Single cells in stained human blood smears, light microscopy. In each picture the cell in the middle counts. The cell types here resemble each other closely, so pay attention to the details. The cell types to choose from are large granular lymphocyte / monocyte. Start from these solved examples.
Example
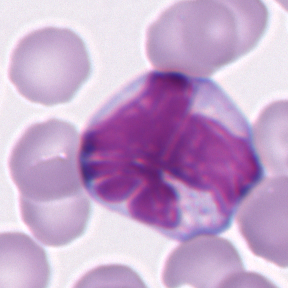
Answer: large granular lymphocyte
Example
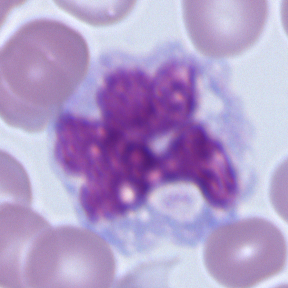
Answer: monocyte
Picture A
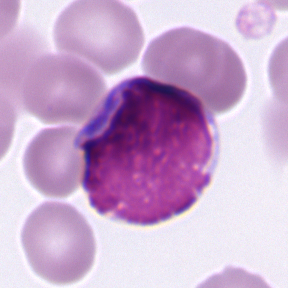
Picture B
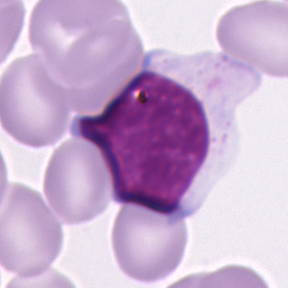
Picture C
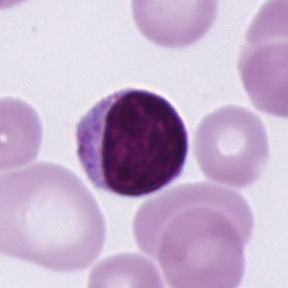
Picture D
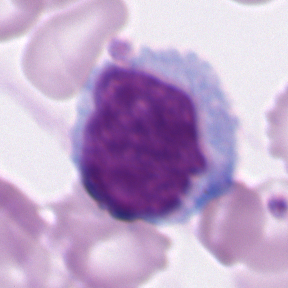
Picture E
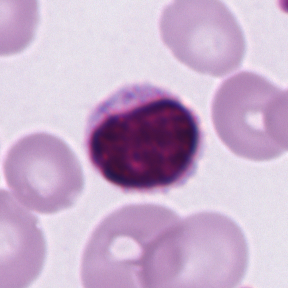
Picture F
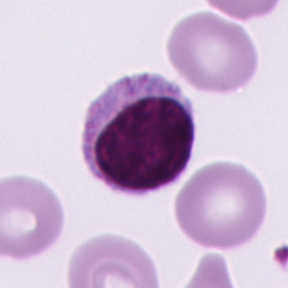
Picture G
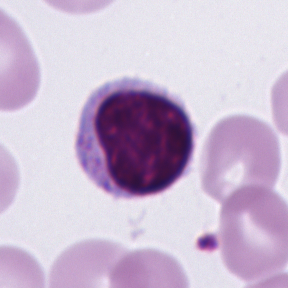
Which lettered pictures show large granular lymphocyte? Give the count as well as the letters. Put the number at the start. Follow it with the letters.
6: A, B, C, E, F, G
